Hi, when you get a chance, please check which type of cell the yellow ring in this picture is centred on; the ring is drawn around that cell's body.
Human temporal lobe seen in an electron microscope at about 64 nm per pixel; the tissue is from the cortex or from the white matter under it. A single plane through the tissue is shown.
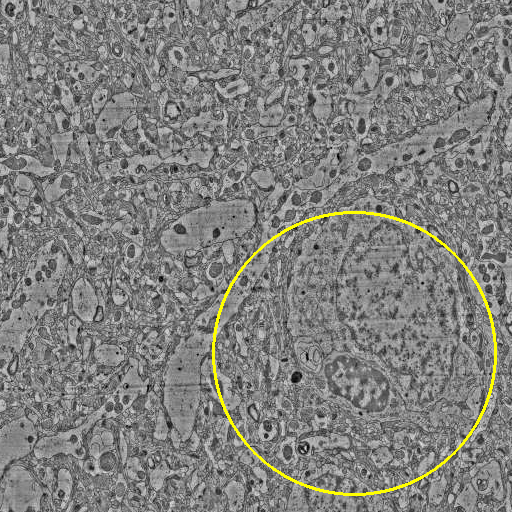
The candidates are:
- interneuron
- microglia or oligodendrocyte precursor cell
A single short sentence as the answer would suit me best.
The ring is drawn around the body of a microglial cell or oligodendrocyte precursor cell.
